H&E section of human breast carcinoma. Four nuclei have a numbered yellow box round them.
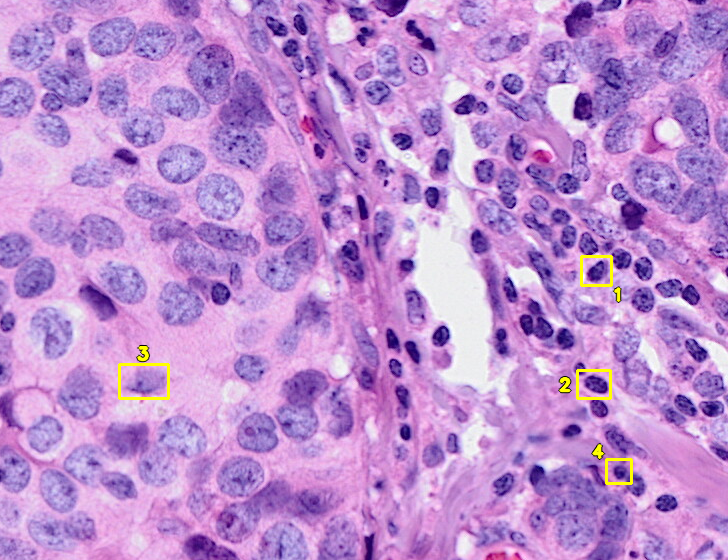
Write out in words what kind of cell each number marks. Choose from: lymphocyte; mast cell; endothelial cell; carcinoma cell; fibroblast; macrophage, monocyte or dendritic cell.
Cells 1, 2 and 4 are lymphocytes. Cell 3 is a carcinoma cell.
